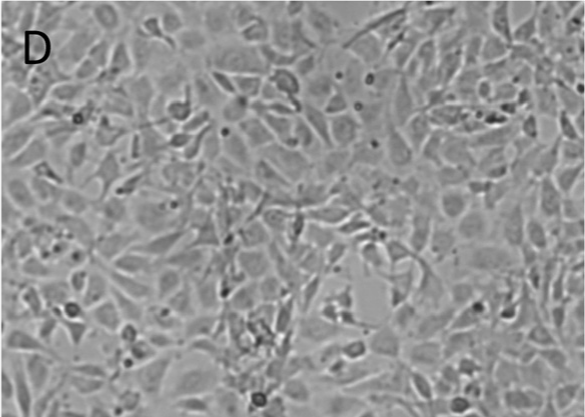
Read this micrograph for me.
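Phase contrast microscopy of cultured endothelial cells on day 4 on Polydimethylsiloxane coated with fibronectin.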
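The cells are polygonal to slightly elongated, with thin pale cytoplasm and faintly outlined oval nuclei, and their borders meet those of their neighbours so that hardly any bare substrate shows. A few small, dark, rounded bodies lie scattered on top of the sheet.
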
